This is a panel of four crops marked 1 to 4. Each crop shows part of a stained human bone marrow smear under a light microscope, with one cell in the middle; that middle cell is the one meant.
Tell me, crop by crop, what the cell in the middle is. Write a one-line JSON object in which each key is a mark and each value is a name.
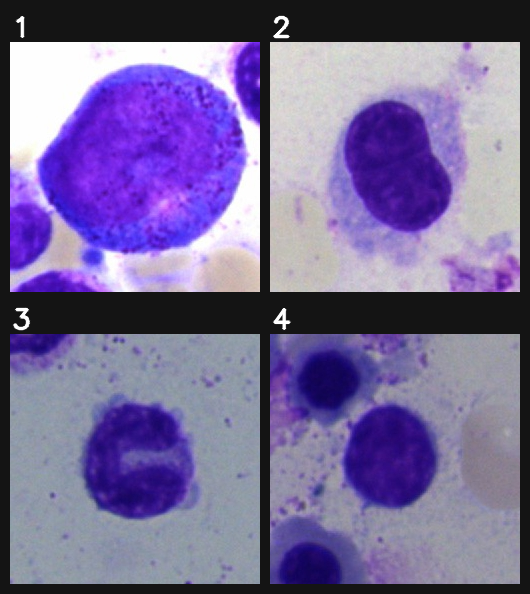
{"1": "promyelocyte", "2": "hairy cell", "3": "band neutrophil", "4": "lymphocyte"}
